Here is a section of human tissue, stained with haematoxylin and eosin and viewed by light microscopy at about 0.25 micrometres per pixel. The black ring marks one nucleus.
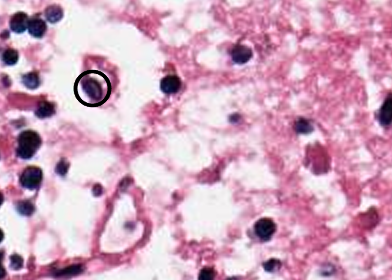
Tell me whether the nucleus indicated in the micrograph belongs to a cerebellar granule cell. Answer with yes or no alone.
no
